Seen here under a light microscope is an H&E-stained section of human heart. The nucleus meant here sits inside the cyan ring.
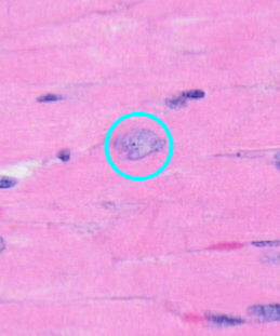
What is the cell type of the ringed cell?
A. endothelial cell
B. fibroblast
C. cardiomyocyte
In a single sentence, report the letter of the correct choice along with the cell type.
It is as option C has it, the ringed cell being a cardiomyocyte.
